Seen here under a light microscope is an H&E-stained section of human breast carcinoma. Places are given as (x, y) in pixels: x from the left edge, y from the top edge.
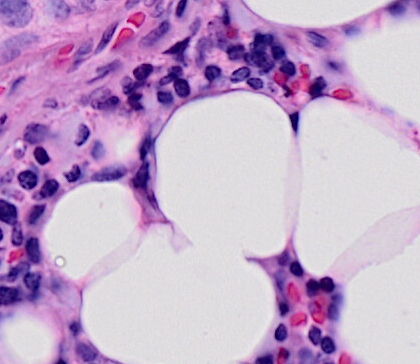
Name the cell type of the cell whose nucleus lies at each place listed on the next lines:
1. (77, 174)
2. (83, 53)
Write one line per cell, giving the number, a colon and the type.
1: lymphocyte
2: endothelial cell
